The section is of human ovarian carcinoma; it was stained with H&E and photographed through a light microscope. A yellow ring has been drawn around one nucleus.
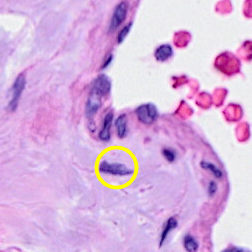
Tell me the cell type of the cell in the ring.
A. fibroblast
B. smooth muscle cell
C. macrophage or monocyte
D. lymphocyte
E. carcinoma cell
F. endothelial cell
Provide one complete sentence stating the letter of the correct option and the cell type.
As stated in option A, the cell in the ring is a fibroblast.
